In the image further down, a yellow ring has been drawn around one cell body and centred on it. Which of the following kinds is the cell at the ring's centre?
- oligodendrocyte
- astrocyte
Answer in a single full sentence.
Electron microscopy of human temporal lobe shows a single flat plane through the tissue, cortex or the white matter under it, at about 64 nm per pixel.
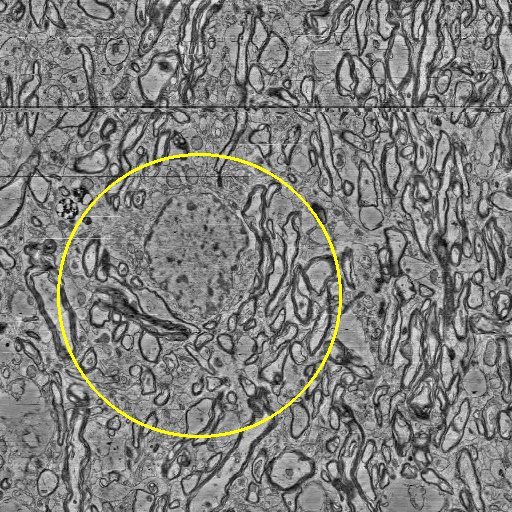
In the picture, the cell sitting at the centre of the yellow ring is an astrocyte.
